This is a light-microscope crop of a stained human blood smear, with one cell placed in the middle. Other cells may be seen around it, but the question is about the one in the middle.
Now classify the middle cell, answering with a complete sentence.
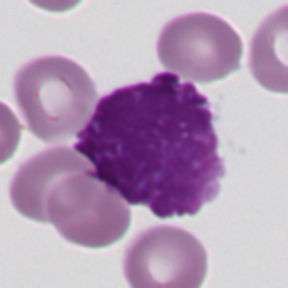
The cell shown in the center of this light-microscope crop is a smudge cell.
